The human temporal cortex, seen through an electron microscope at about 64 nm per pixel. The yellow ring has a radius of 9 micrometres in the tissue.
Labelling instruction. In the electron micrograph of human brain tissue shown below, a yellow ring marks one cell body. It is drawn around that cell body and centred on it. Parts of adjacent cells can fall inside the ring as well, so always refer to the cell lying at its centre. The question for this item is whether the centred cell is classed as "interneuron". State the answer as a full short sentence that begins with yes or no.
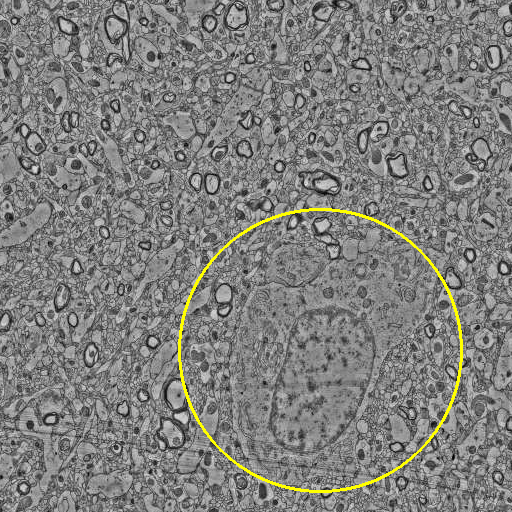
Yes, the centred cell is of that class.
